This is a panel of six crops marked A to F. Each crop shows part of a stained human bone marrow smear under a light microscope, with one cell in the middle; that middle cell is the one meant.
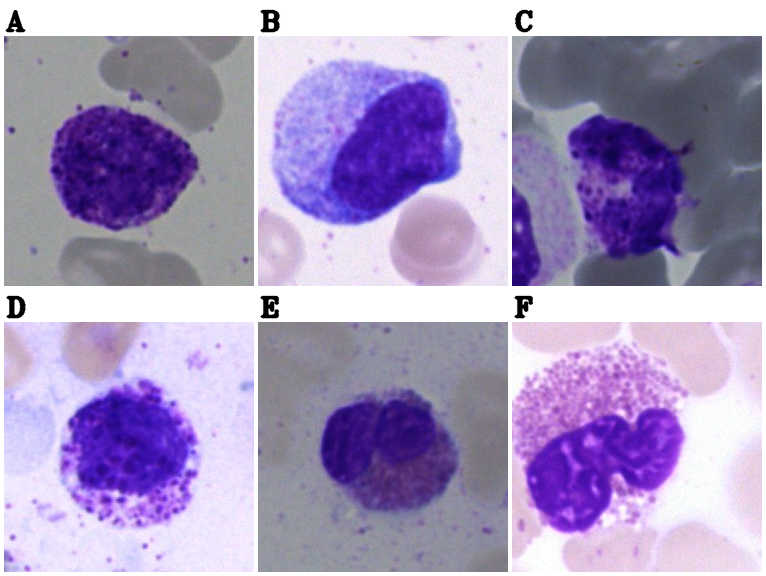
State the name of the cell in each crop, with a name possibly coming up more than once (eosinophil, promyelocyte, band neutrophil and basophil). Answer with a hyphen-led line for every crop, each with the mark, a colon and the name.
- A: basophil
- B: promyelocyte
- C: basophil
- D: basophil
- E: eosinophil
- F: eosinophil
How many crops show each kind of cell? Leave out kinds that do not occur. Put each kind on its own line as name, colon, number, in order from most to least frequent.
basophil: 3
eosinophil: 2
promyelocyte: 1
